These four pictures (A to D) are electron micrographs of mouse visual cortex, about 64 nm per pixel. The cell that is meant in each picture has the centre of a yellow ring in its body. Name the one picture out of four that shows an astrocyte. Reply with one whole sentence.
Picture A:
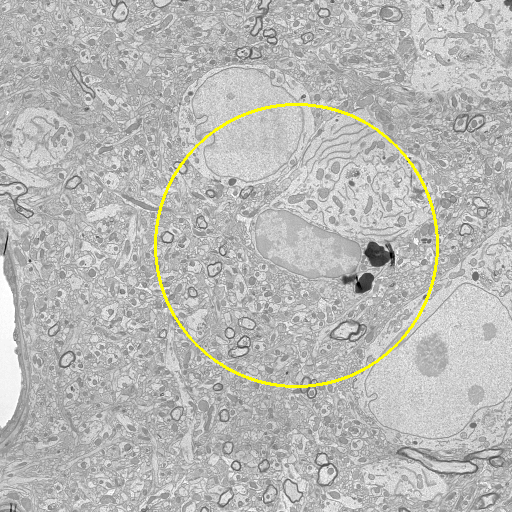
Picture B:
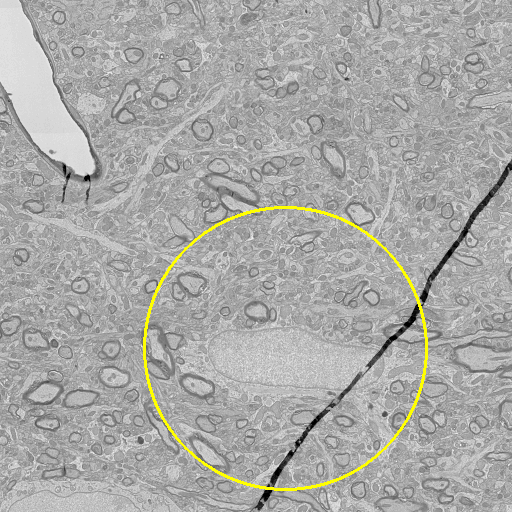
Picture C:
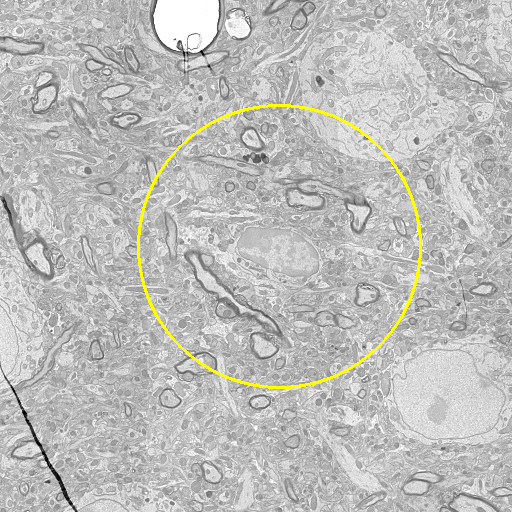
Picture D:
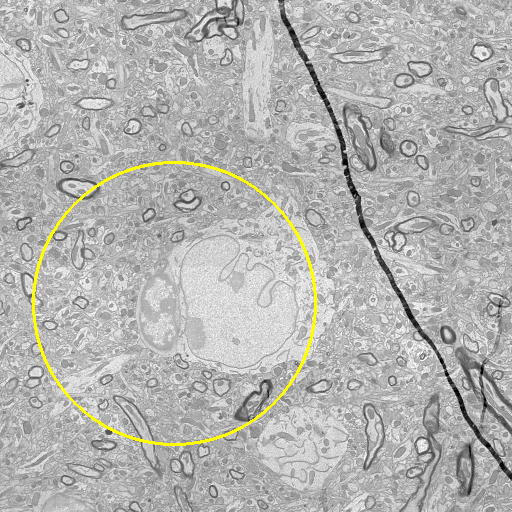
It is picture B that shows the astrocyte.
